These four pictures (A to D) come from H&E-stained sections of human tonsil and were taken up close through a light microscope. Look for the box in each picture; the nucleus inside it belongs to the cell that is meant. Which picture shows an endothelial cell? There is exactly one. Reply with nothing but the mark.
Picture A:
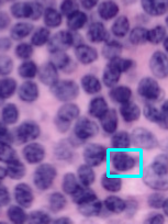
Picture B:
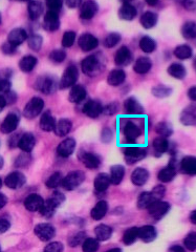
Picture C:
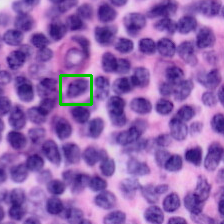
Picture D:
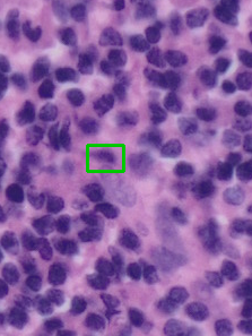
D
